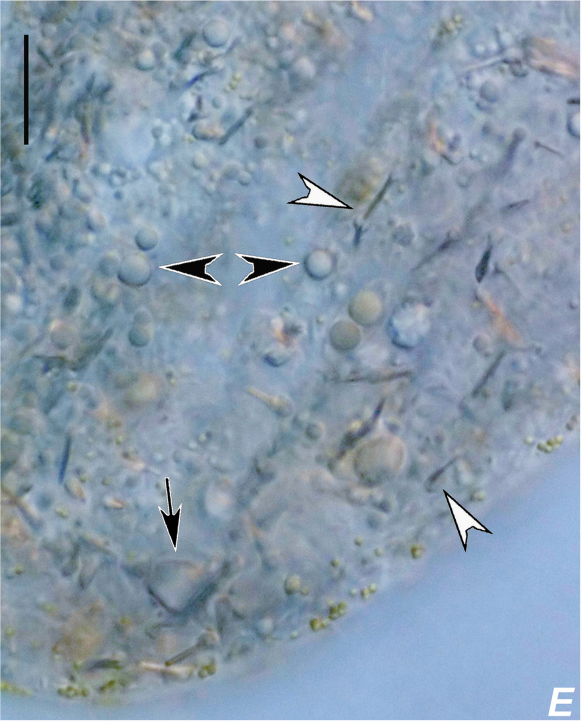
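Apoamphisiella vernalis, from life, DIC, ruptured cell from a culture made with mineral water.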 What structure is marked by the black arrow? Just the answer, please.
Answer: polygonal crystal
